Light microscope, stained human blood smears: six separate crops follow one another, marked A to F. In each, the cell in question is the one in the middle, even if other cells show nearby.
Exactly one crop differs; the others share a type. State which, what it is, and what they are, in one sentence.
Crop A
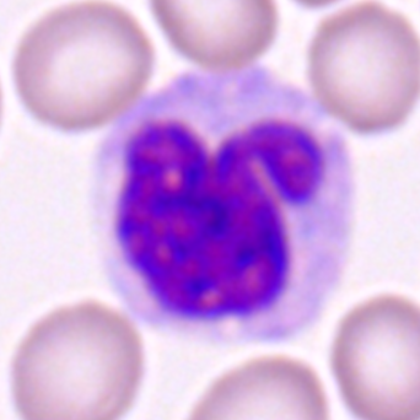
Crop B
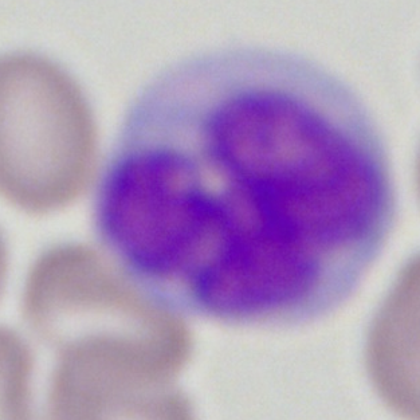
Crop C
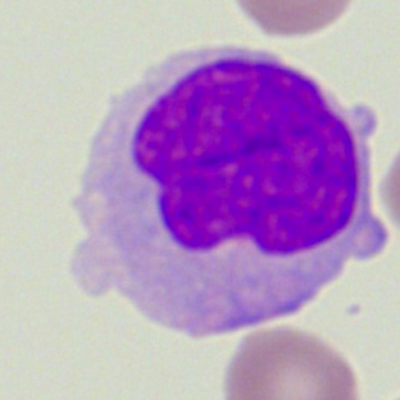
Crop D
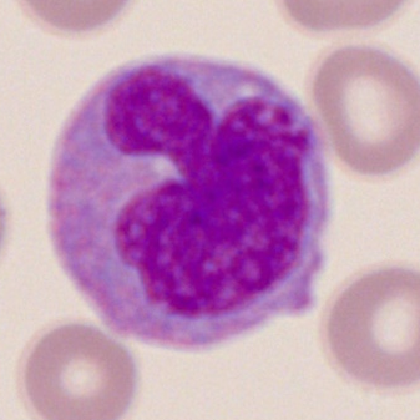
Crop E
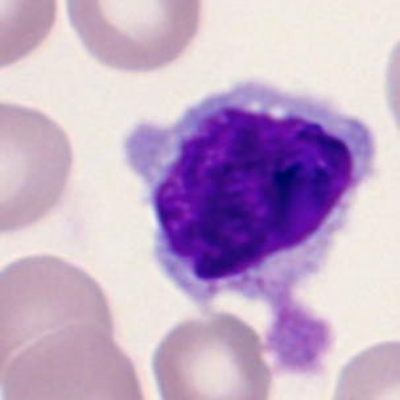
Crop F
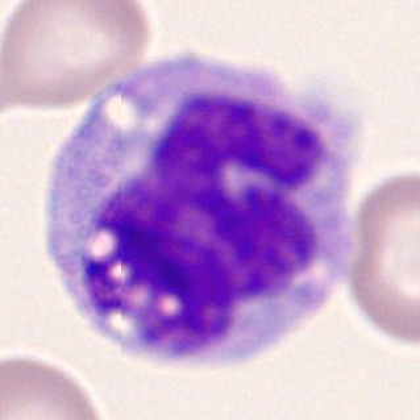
The others are all monocytes; crop E is a lymphocyte.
